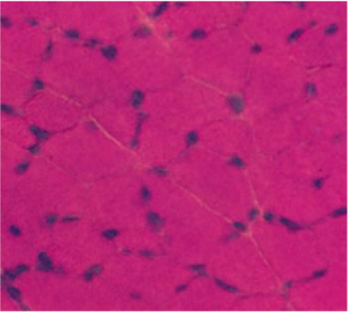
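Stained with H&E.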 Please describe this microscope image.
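This is skeletal muscle cut across its fibers, stained pink and purple. The fibers are tightly packed polygons of fairly even size, with uniformly pink cytoplasm and no pale, fragmented or hyaline-looking fibers. Their dark purple nuclei sit at the edges of the fibers rather than in their centres. Between neighbouring fibers run only thin pale lines of connective tissue. No clusters of small round cells crowd between the fibers, and nothing suggests dying fibers being cleared away, so the overall picture is that of ordinary, healthy muscle architecture.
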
